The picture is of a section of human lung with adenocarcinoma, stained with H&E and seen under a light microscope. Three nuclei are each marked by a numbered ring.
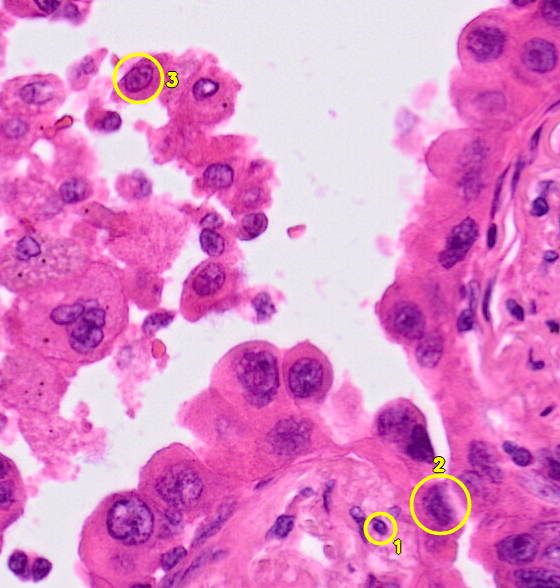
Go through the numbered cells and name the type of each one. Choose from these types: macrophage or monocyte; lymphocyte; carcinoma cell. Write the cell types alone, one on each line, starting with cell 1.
lymphocyte
carcinoma cell
macrophage or monocyte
